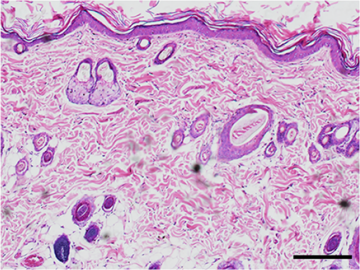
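Skin in section with a continuous purple-staining stratified epidermis at the surface, a few cell layers thick, covered by flaking pink keratin. Below lies a dermis of loosely interwoven pink collagen bundles. Numerous hair follicles are cut across and obliquely, seen as rings of purple epithelial cells around hair shafts, and pale, foamy sebaceous glands sit beside follicles in the upper dermis. A larger follicle with a thick epithelial sheath lies mid-dermis. Scattered dark purple follicle profiles appear deeper. Clear spaces between collagen bundles give the dermis a lacy look.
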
